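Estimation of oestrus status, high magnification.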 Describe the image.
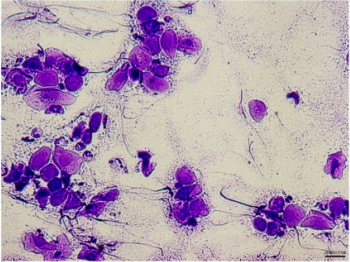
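In this smear small round epidermal cells dominate, gathered in dense clusters, and large flat polygonal cells are now few. The rounded cells stain deep purple, and many show a darker nucleus within a compact cytoplasm. Among and around the clusters lie tiny, darker-stained cells. Fine pale violet threads of filamentous mucus stretch across the background and link the clusters. The overall impression is of crowded, deeply stained cells in a stringy background.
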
